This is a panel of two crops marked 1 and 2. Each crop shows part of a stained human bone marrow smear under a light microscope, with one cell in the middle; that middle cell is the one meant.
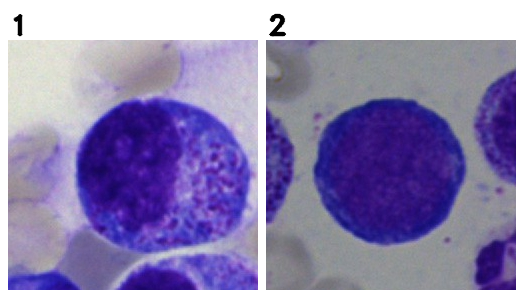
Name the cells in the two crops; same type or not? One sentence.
No, a proerythroblast is the cell of crop 2, while a promyelocyte is the cell of crop 1.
